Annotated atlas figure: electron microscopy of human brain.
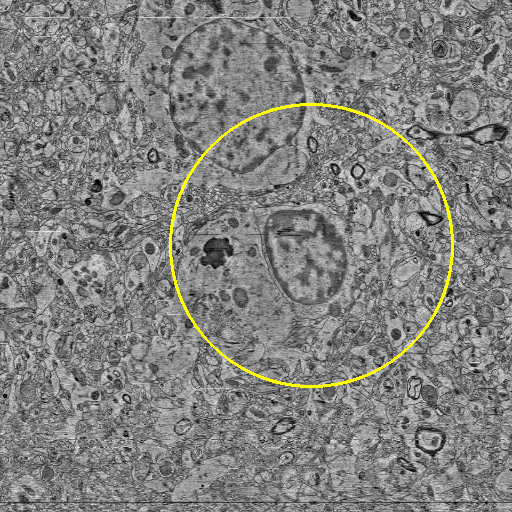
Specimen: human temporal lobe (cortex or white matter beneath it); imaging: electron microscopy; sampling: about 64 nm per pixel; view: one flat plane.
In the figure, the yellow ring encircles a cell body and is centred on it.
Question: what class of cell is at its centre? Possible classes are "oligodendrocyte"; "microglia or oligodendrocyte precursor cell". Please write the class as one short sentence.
The yellow ring is drawn around a microglial cell or oligodendrocyte precursor cell.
